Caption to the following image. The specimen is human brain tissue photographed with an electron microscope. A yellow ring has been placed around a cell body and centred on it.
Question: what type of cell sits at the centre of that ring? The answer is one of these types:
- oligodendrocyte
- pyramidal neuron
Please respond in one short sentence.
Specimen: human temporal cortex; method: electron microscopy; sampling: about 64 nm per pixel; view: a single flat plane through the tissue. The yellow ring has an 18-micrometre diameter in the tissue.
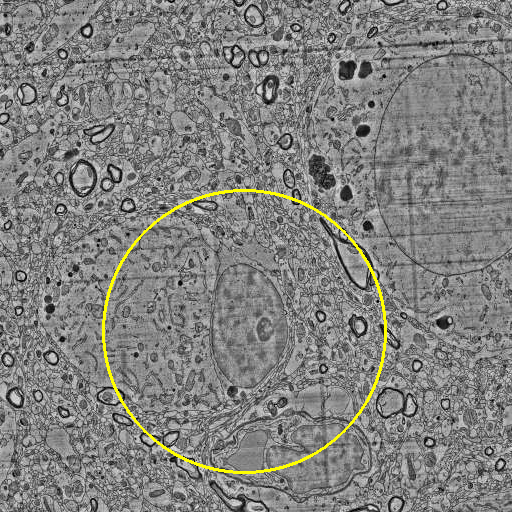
The ring surrounds the cell body of an oligodendrocyte.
